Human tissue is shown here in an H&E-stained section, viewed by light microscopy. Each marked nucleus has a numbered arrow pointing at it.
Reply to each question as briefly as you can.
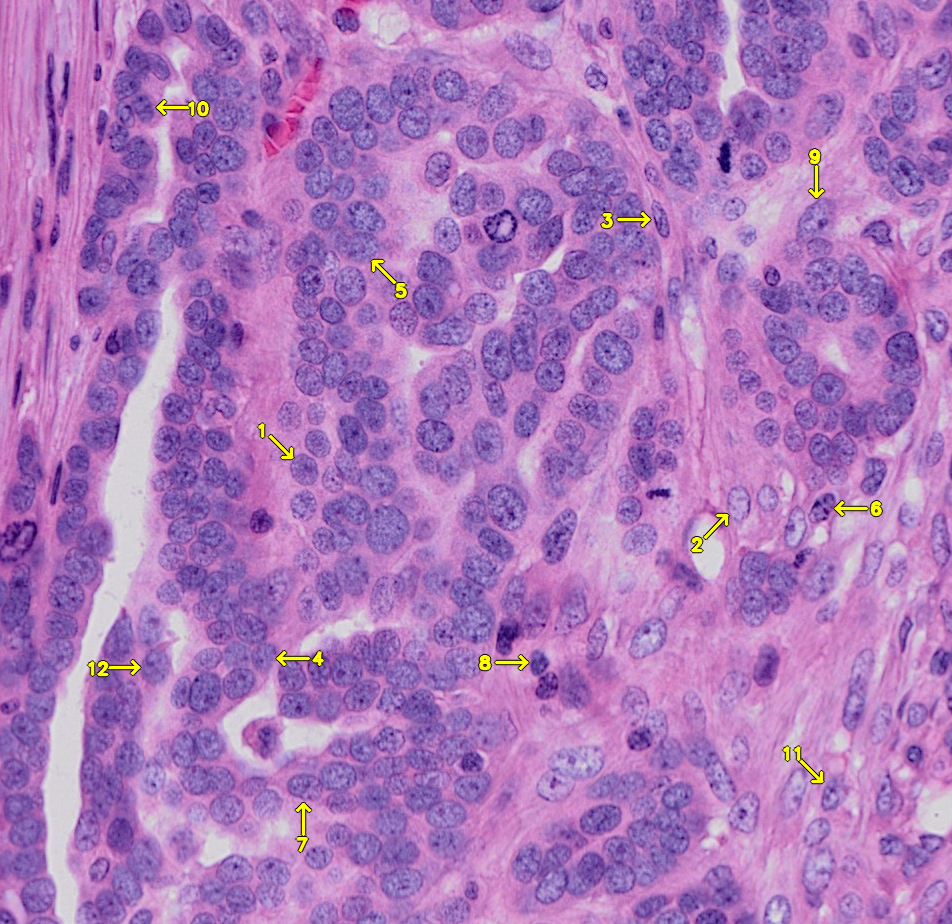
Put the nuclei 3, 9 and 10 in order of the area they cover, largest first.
9, 10, 3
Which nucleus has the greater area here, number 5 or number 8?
5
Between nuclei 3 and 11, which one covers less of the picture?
3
